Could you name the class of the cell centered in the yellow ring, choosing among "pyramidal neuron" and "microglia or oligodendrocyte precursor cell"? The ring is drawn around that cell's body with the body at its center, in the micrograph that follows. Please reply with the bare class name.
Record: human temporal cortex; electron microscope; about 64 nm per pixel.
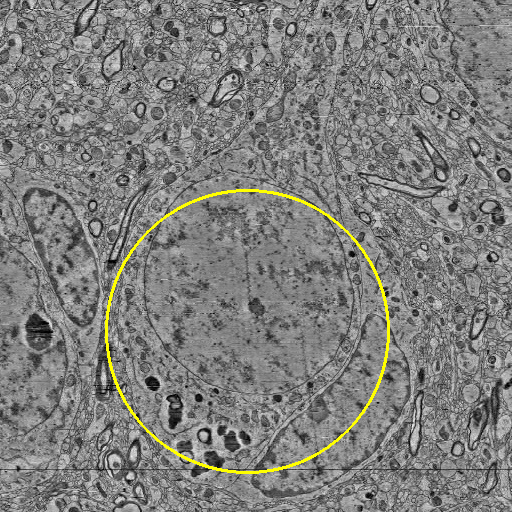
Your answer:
pyramidal neuron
